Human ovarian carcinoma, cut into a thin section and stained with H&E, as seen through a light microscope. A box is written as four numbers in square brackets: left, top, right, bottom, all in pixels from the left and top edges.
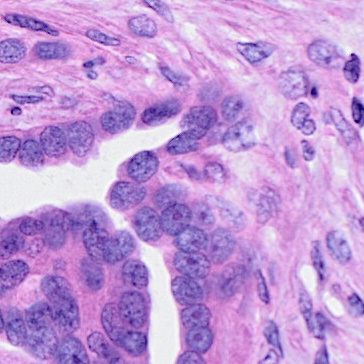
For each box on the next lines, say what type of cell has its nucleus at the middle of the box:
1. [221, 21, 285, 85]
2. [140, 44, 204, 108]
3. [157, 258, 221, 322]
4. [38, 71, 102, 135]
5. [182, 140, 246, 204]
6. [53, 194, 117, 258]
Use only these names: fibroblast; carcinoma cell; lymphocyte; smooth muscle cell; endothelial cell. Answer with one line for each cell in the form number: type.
1: fibroblast
2: fibroblast
3: carcinoma cell
4: fibroblast
5: fibroblast
6: carcinoma cell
